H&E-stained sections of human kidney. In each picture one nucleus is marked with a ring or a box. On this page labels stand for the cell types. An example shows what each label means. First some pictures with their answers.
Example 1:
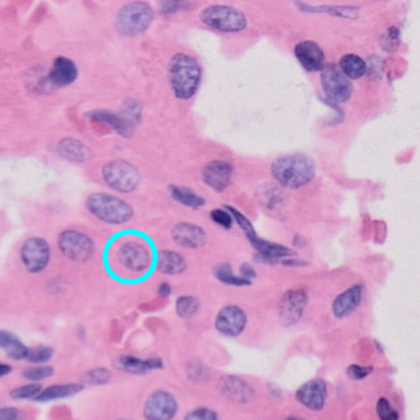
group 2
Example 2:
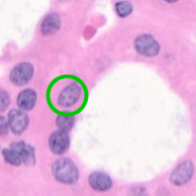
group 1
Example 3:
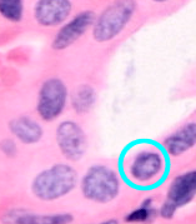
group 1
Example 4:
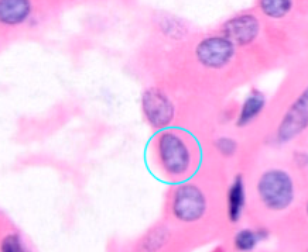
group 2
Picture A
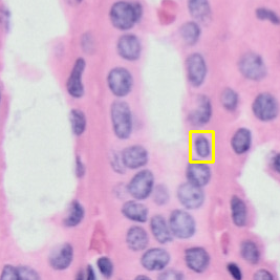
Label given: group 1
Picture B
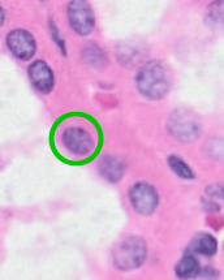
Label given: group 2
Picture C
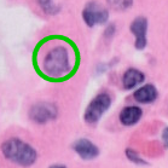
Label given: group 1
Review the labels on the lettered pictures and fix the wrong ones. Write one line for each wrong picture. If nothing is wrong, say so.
C: change group 1 to group 2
